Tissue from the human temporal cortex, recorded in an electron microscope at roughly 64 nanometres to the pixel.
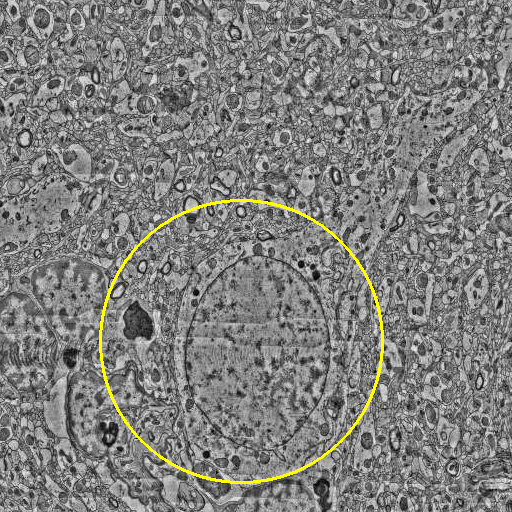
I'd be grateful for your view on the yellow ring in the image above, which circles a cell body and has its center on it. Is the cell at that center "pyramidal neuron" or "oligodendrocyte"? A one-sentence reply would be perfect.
The cell at the center of the yellow ring is a pyramidal neuron.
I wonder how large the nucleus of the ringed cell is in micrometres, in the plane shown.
Approximately 13 micrometres long and 9 micrometres wide, in this plane.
